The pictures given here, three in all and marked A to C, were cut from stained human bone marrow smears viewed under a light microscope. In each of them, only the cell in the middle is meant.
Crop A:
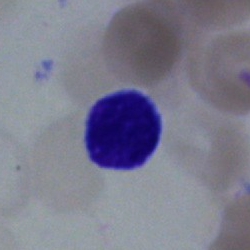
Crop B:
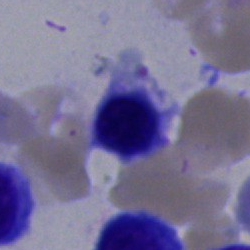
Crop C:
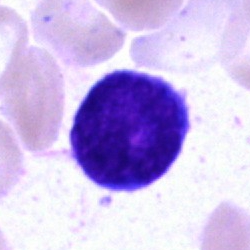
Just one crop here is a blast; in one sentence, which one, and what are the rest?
Crop C is read as a blast, while crop A is a lymphocyte and crop B is a normoblast.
